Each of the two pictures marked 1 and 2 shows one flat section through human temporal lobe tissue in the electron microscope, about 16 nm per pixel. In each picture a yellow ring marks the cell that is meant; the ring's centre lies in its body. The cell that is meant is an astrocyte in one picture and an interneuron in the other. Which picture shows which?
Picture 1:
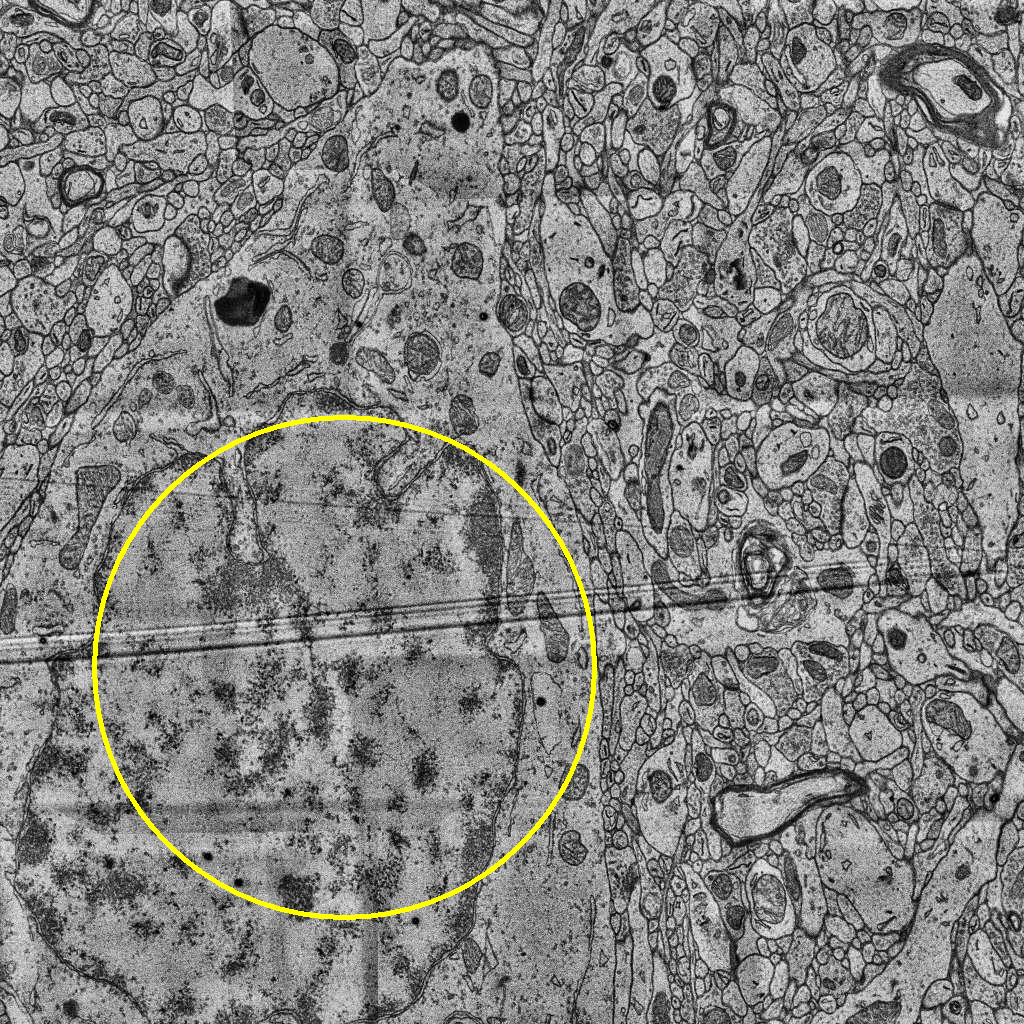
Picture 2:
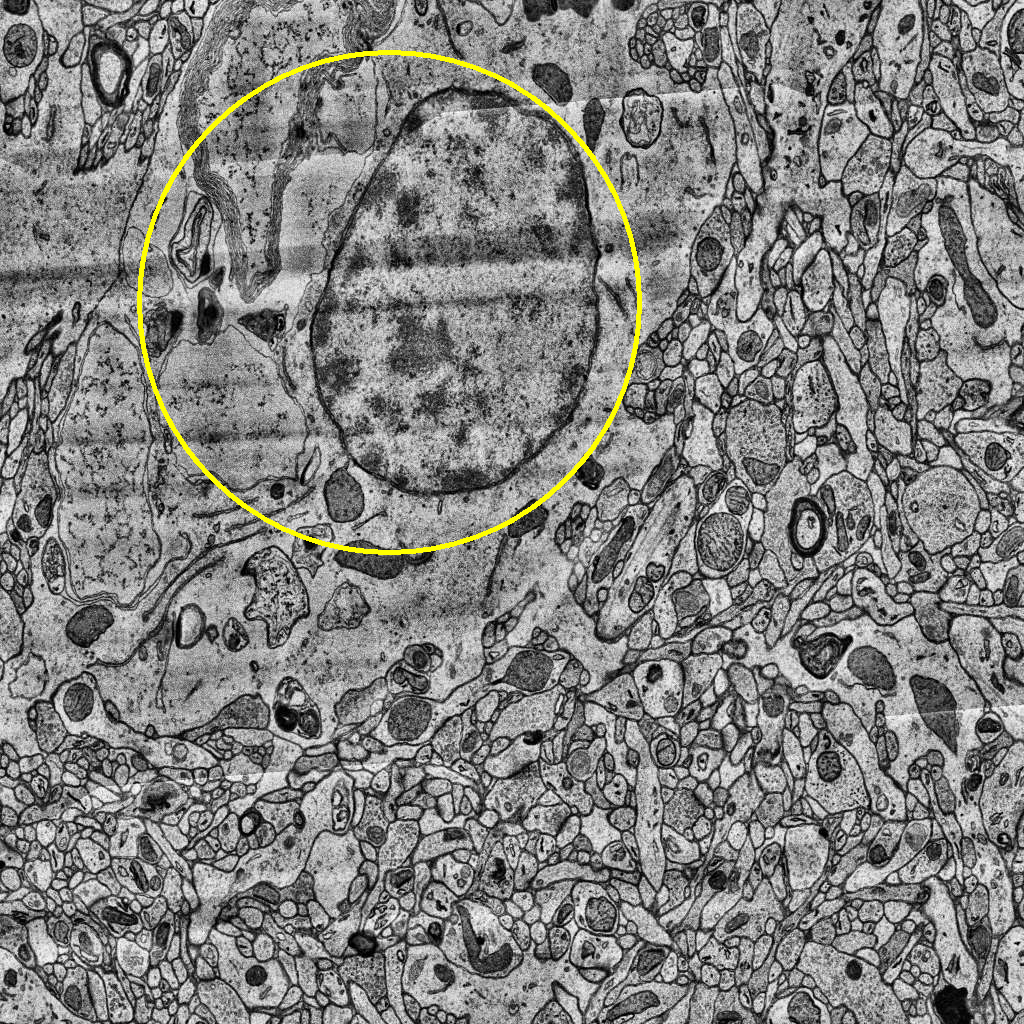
Picture 2 shows an astrocyte, while picture 1 shows an interneuron.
